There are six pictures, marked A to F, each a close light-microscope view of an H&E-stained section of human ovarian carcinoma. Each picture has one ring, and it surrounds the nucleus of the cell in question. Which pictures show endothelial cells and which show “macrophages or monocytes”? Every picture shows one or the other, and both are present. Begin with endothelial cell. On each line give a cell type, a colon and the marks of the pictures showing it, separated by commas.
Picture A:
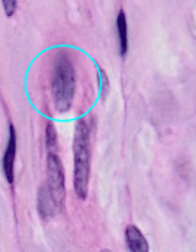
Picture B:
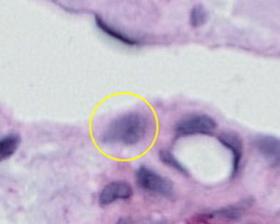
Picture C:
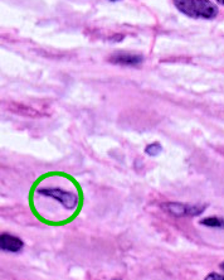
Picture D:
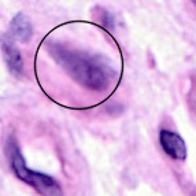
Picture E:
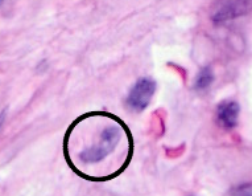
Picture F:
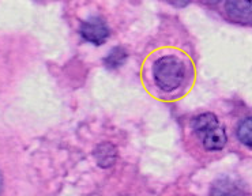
endothelial cell: A, B, D
macrophage or monocyte: C, E, F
